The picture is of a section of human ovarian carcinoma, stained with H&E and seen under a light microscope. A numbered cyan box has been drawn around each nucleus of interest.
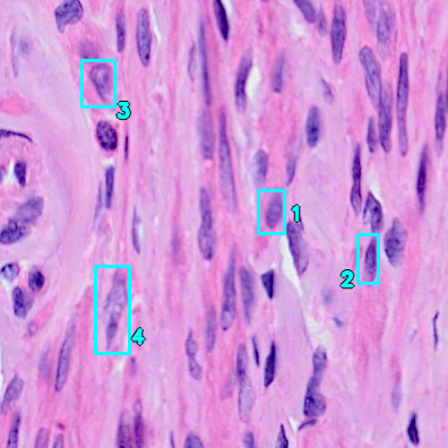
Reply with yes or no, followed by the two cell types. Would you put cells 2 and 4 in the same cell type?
Yes, both are smooth muscle cells.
